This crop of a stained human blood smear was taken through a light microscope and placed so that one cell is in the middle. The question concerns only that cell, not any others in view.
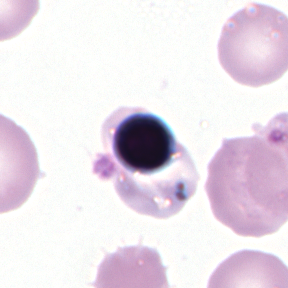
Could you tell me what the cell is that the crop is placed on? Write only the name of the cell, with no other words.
erythroblast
